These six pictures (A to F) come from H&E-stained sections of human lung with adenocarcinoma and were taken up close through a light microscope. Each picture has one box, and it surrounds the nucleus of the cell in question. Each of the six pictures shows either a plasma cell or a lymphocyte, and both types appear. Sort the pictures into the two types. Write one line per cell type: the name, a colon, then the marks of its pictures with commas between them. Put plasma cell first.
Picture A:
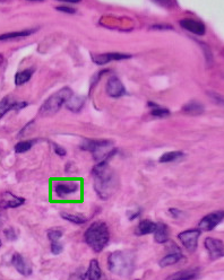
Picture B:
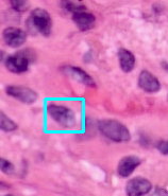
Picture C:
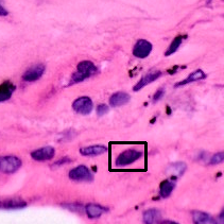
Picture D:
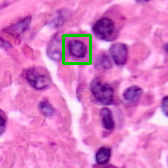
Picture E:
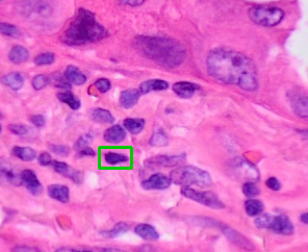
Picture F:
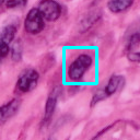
plasma cell: A, C, D, F
lymphocyte: B, E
